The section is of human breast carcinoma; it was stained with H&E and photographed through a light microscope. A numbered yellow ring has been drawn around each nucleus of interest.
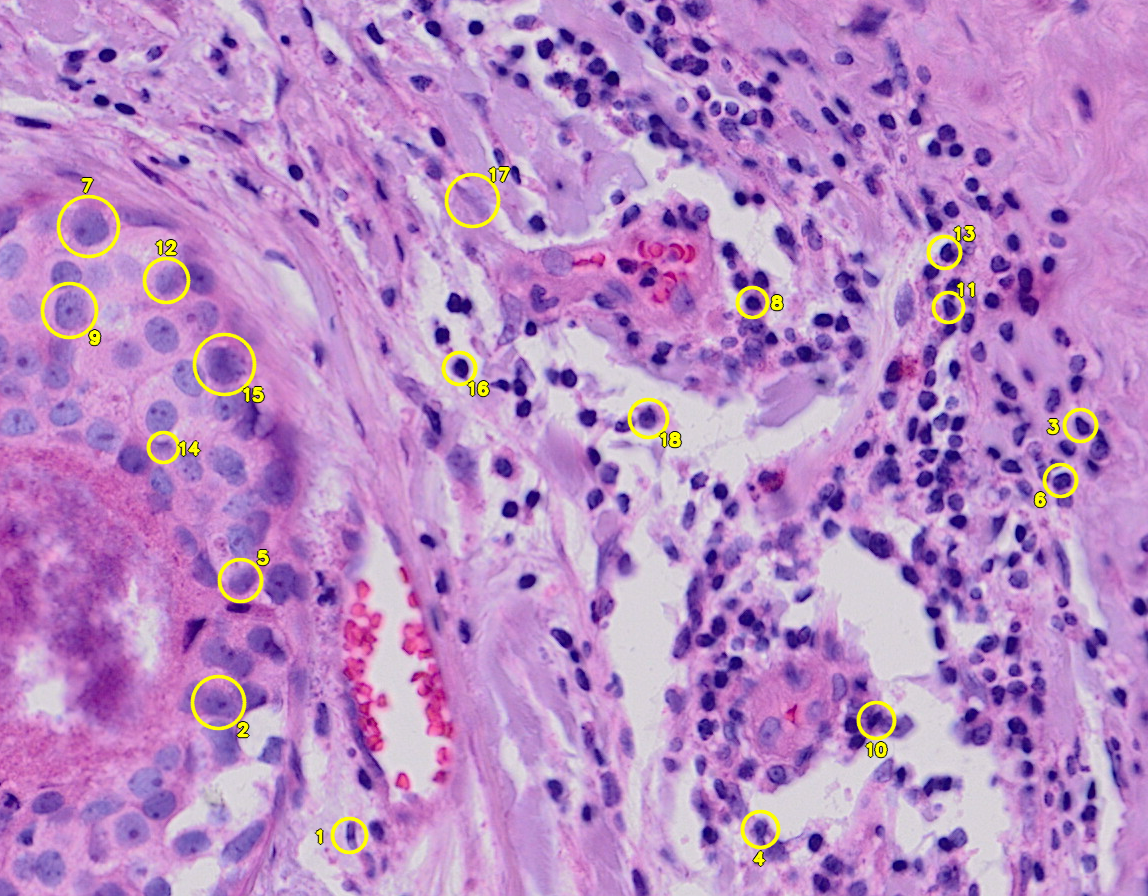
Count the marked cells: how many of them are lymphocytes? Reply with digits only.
10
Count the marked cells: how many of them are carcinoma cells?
7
